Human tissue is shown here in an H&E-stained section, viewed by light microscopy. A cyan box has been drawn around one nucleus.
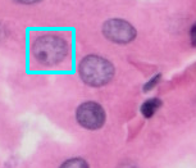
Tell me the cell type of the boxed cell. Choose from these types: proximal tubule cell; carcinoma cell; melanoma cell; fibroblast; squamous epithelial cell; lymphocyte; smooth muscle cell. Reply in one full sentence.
The classification of the boxed cell is as a proximal tubule cell.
